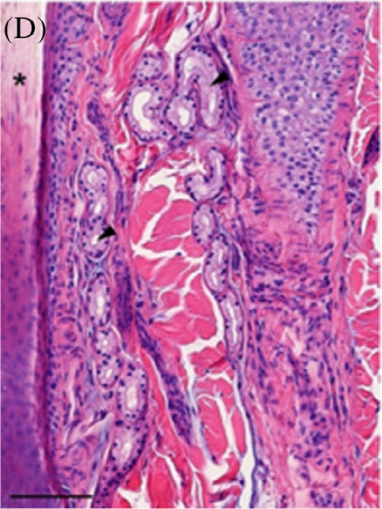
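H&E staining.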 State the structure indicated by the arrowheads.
Sweat gland.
